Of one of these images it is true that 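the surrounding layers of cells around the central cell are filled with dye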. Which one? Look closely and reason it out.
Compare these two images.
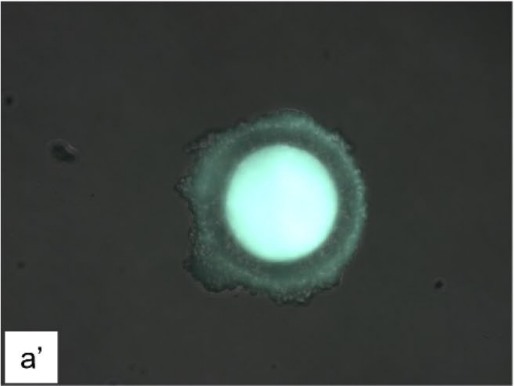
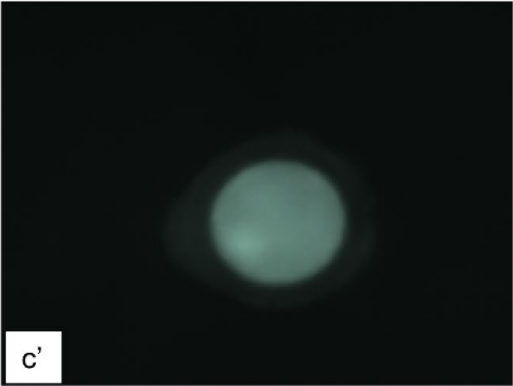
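Second image: only the central round body fluoresces, the rim around it is barely visible. First image: a broad fluorescent ring of cells surrounds the bright central body. That points to this answer: the first image.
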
